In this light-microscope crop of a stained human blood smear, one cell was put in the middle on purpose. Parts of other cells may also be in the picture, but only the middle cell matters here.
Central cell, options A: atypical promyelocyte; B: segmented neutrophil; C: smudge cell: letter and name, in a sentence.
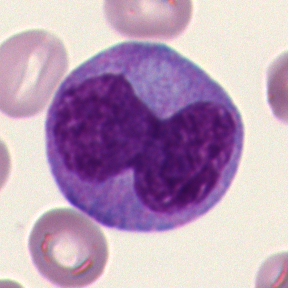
The correct option here is A; the middle cell is an atypical promyelocyte.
